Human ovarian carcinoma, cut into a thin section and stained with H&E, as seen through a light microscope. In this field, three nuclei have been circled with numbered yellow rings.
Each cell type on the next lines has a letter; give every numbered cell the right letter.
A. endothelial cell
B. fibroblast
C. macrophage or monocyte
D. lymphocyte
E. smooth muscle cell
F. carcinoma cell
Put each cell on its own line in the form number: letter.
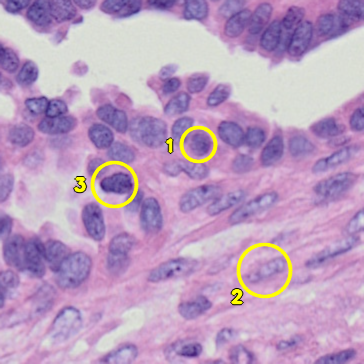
1: F
2: B
3: F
